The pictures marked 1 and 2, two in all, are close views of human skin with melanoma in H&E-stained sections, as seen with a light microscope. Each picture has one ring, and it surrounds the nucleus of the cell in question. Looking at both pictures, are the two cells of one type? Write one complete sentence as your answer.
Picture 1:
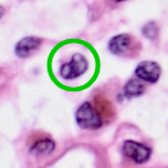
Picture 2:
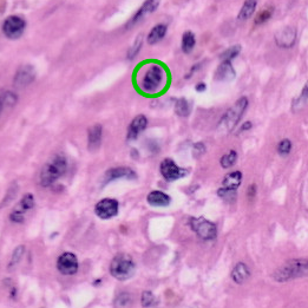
No. Picture 1 shows a lymphocyte, but picture 2 shows a plasma cell.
